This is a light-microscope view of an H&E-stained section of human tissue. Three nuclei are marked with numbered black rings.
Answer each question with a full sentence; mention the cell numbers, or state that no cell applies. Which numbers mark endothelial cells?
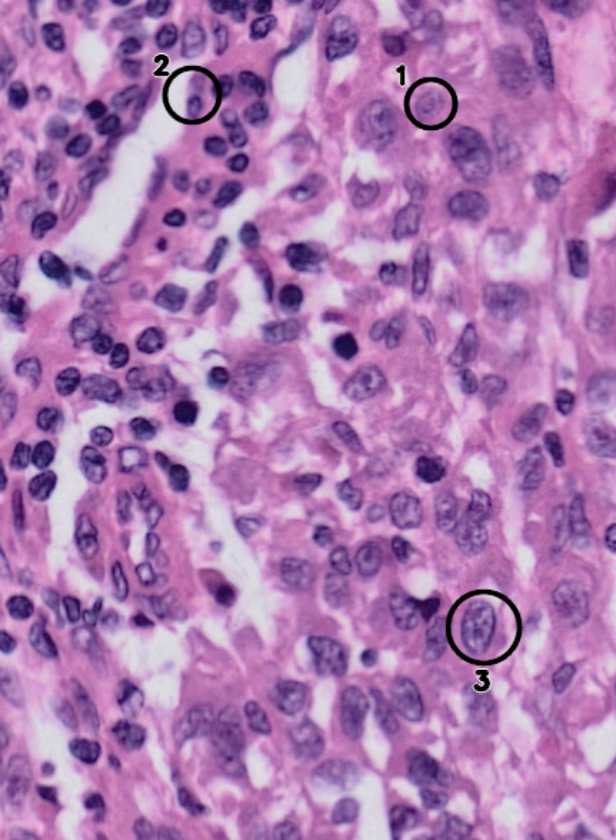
Cell 2 is an endothelial cell, whereas each of the other numbered cells is not.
